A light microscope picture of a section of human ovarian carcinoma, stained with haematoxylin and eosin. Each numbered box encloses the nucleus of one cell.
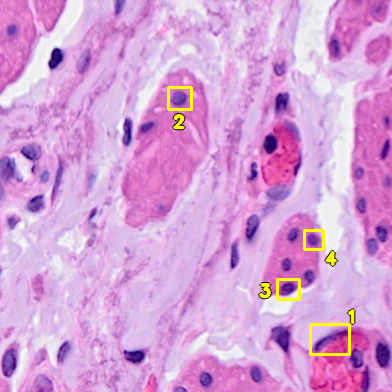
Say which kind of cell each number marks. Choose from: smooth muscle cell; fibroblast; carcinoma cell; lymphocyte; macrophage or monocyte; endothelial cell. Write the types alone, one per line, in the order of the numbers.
endothelial cell
smooth muscle cell
smooth muscle cell
smooth muscle cell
